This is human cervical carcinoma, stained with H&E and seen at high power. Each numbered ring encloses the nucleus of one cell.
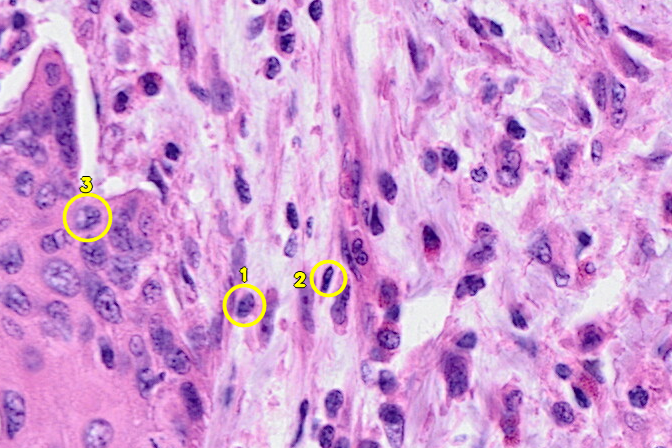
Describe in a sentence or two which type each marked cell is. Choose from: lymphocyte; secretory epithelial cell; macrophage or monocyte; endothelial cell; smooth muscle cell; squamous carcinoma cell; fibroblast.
Cells 1 and 2 are lymphocytes. Cell 3 is a squamous carcinoma cell.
